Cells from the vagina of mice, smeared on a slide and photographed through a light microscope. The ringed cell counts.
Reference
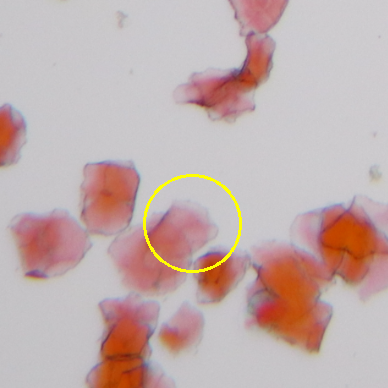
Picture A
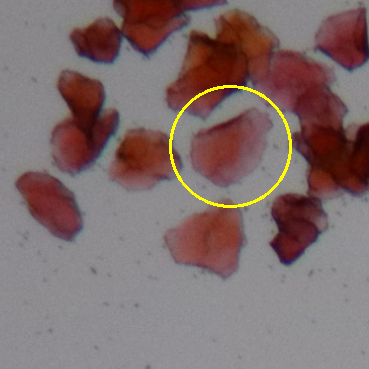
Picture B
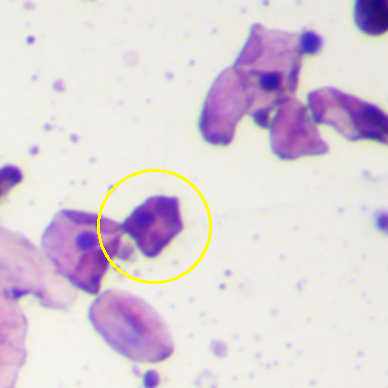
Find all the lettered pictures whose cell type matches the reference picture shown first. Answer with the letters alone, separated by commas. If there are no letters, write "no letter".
A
